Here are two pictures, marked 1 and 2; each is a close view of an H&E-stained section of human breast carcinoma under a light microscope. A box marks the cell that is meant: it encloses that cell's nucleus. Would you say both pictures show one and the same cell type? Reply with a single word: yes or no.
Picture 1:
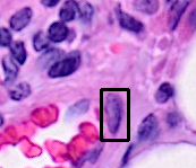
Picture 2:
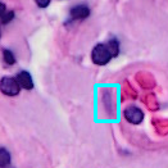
yes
